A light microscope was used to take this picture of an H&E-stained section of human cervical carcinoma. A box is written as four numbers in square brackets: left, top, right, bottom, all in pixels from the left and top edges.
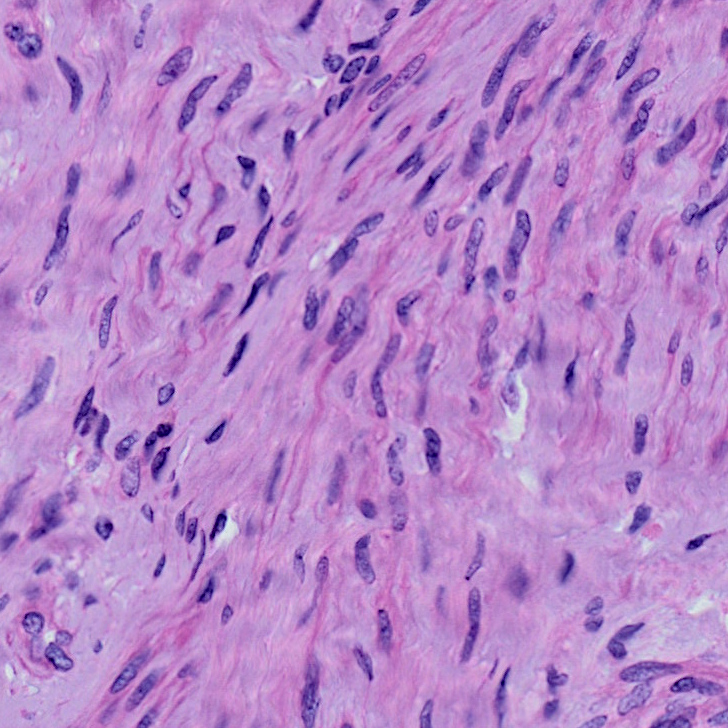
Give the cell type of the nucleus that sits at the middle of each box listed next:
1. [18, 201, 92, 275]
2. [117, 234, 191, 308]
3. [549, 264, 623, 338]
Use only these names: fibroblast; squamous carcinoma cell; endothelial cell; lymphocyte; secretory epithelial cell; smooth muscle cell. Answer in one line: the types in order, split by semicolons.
fibroblast; smooth muscle cell; smooth muscle cell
